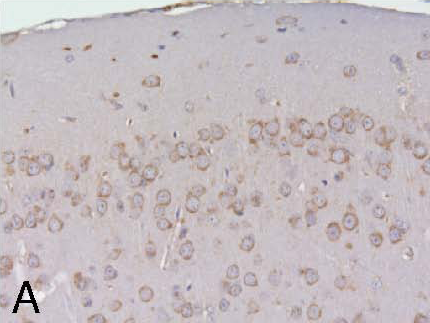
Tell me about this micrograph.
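This is a section of cerebral cortex with the smooth surface at the top, covered by a thin membrane. A broad pale band with few cells lies under the surface. Below it, many rounded cell bodies are arranged fairly densely, each showing a faint light brown cytoplasm around a round blue-grey nucleus. Small dark, elongated nuclei are scattered between the larger cells, some next to thin vessels. The overall brown staining is weak and the intervening tissue is pale and finely textured.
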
